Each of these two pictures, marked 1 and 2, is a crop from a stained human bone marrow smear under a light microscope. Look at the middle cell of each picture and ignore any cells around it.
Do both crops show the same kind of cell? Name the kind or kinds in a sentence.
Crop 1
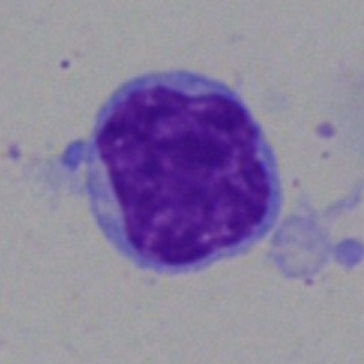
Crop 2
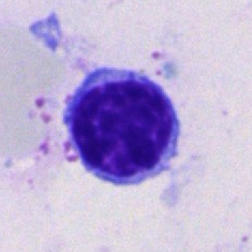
Yes, in the two crops, lymphocytes are the cells at the centre.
